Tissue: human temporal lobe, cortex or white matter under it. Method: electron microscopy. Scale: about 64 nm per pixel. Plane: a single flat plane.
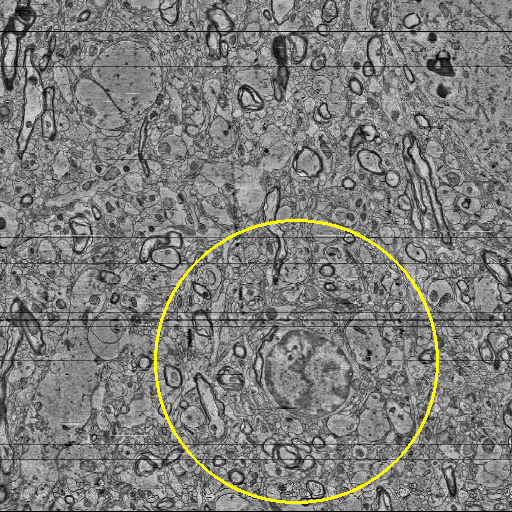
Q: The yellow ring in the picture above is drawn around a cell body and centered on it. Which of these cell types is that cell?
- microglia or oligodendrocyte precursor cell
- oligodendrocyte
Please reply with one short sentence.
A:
The cell body at the ring's center belongs to an oligodendrocyte.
